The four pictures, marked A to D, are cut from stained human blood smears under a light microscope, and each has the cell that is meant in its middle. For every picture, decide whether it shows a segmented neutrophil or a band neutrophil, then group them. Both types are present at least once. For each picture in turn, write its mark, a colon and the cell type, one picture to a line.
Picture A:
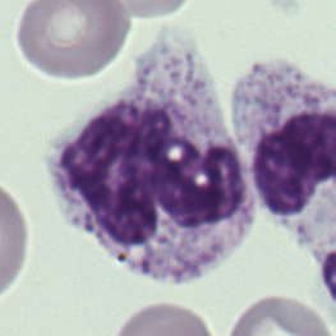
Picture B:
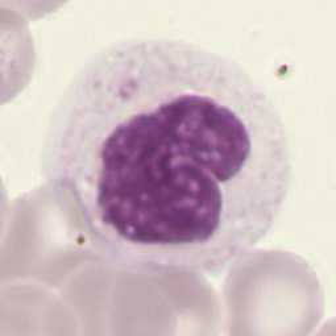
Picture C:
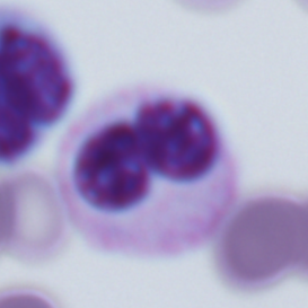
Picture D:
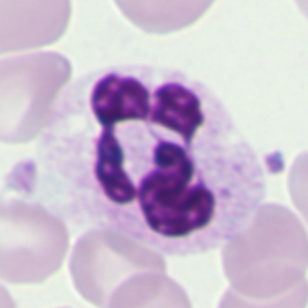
A: segmented neutrophil
B: band neutrophil
C: segmented neutrophil
D: segmented neutrophil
